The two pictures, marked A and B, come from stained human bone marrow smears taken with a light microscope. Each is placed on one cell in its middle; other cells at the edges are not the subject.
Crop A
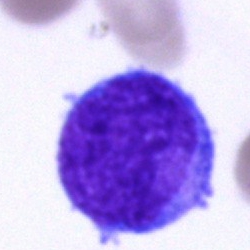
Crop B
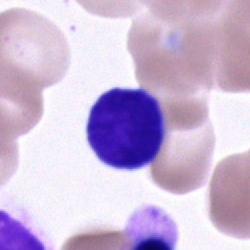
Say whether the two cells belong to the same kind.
no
